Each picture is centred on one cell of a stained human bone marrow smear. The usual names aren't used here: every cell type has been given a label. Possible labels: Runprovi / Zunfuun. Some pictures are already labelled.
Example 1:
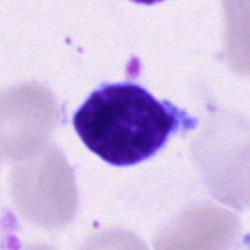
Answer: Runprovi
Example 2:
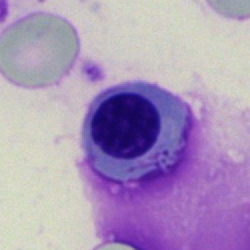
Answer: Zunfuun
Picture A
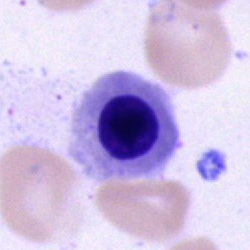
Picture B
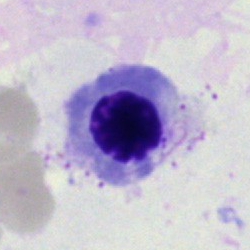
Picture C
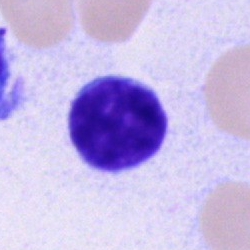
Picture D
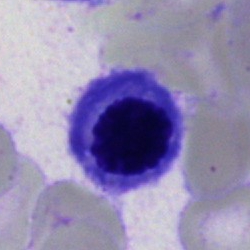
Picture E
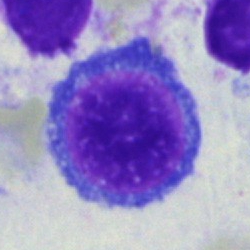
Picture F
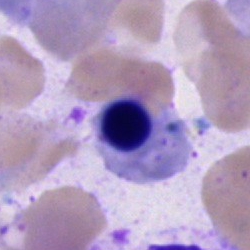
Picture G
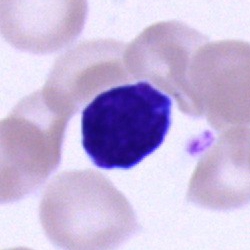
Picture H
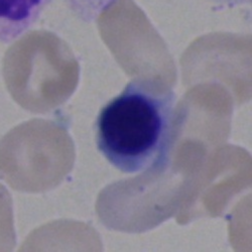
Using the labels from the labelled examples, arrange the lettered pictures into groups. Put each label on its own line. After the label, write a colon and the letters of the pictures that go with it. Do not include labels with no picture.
Runprovi: C, G
Zunfuun: A, B, D, E, F, H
